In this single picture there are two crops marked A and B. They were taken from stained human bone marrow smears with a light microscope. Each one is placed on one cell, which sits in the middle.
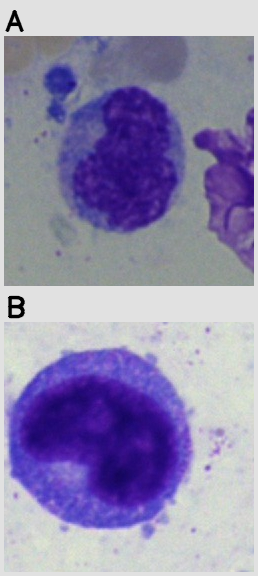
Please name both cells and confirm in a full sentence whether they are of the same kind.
Yes, both crops show monocytes, and that holds for each one.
